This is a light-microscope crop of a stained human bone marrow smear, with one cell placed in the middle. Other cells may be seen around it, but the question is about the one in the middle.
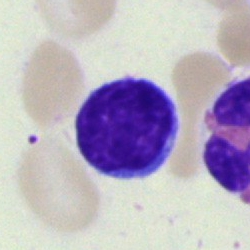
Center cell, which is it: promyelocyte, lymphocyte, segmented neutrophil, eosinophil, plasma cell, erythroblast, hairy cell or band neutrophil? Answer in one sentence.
To answer, the cell in the center of the crop is a lymphocyte.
